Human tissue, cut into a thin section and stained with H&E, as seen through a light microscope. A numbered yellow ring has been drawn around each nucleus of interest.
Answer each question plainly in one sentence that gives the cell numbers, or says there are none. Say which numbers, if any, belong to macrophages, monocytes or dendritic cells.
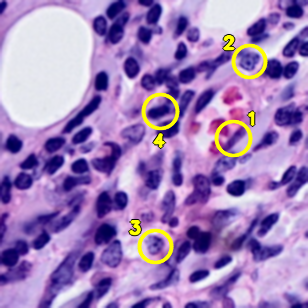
Checking each numbered cell, none of them turn out to be macrophages, monocytes or dendritic cells.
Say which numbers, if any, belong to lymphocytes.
On this slide, the cells numbered 2 and 4 are lymphocytes.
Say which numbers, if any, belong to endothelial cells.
The numbered cells include exactly one that is an endothelial cell, which is cell 1.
